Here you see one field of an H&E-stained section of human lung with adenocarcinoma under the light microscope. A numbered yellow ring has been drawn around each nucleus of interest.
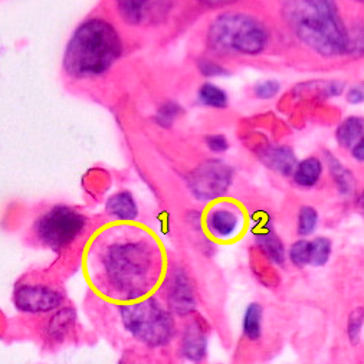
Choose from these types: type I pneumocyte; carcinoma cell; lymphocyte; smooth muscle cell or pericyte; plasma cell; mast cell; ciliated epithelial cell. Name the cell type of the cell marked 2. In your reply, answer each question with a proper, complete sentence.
Among the marked cells, number 2 is a lymphocyte.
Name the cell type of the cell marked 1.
What the number 1 marks in this field is a carcinoma cell.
